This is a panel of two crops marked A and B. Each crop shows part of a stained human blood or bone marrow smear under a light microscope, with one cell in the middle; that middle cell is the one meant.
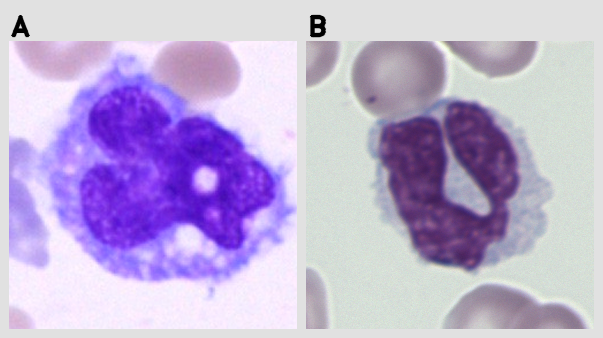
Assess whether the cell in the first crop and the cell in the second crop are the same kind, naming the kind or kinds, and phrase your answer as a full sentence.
Yes, the central cells in both crops are monocytes.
